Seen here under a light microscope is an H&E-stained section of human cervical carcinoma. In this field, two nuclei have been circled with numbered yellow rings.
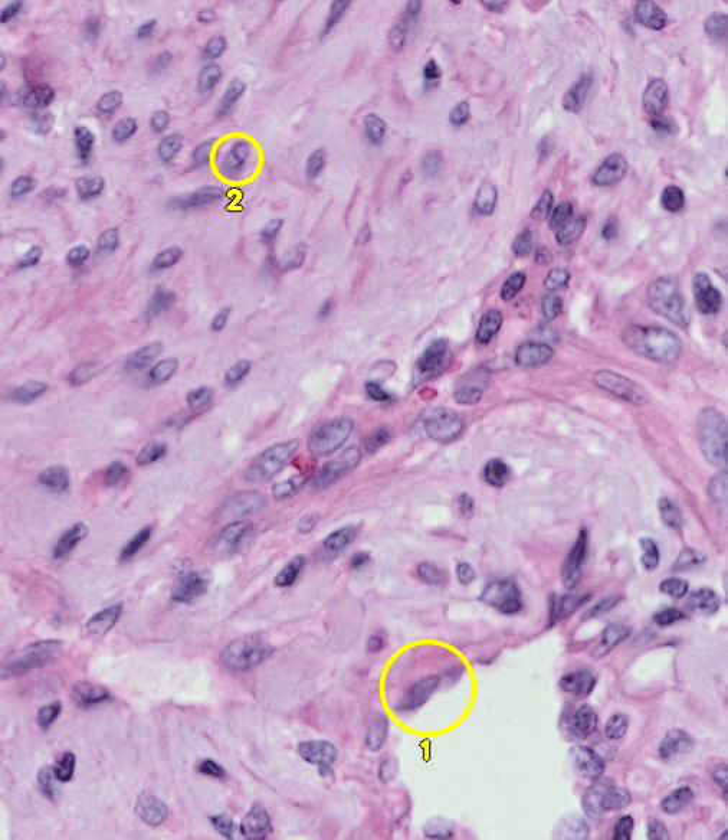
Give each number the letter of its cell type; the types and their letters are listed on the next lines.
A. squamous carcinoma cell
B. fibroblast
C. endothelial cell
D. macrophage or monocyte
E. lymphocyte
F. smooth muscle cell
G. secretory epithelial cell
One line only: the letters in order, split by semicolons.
C; F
